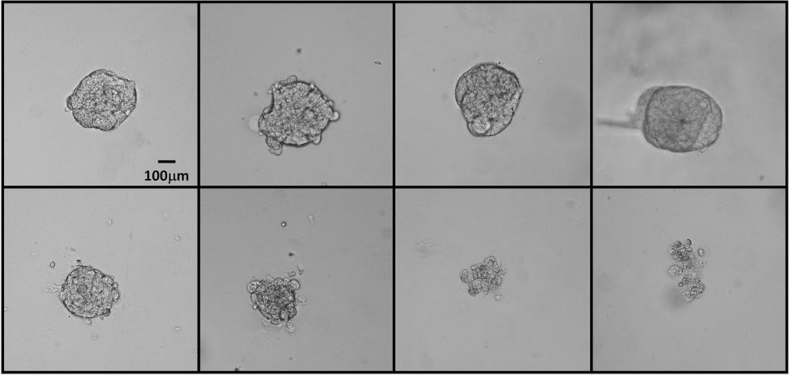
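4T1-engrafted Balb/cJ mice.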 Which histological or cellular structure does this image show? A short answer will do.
organoids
